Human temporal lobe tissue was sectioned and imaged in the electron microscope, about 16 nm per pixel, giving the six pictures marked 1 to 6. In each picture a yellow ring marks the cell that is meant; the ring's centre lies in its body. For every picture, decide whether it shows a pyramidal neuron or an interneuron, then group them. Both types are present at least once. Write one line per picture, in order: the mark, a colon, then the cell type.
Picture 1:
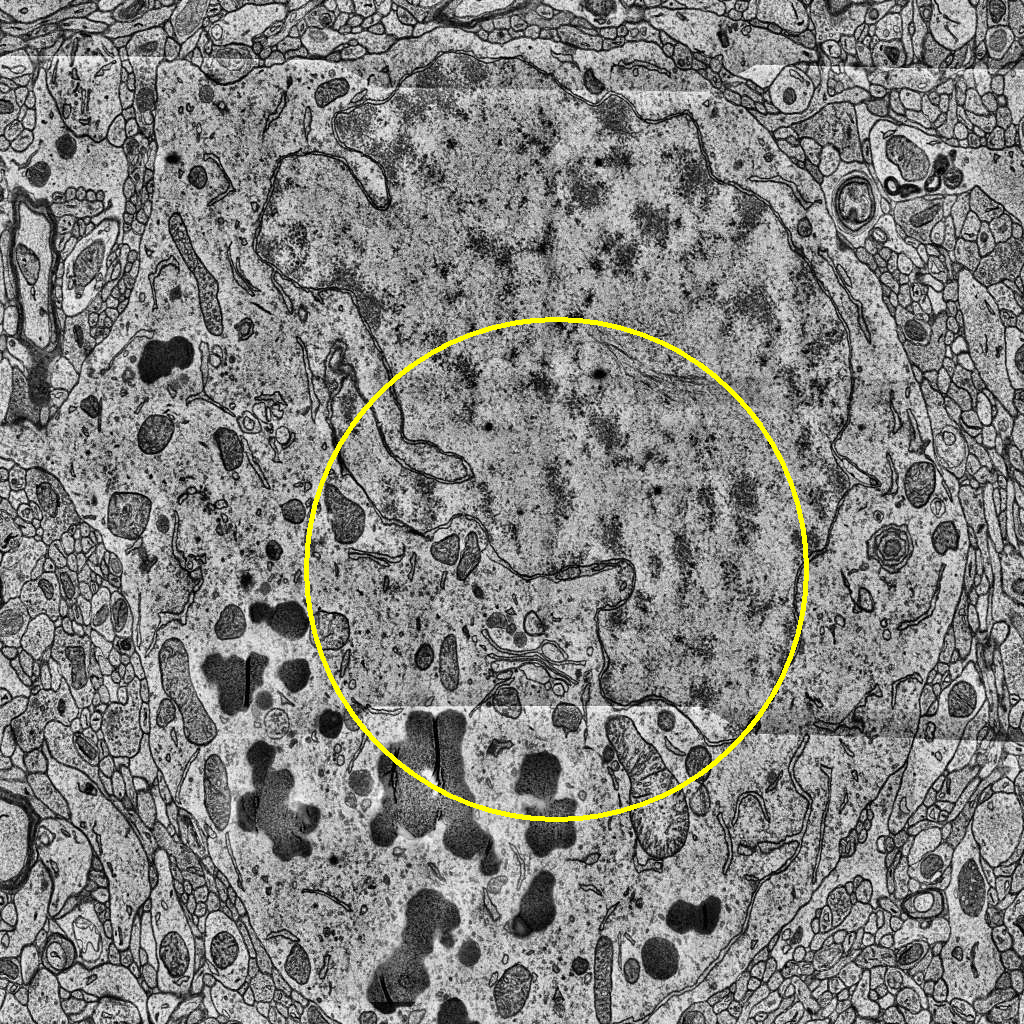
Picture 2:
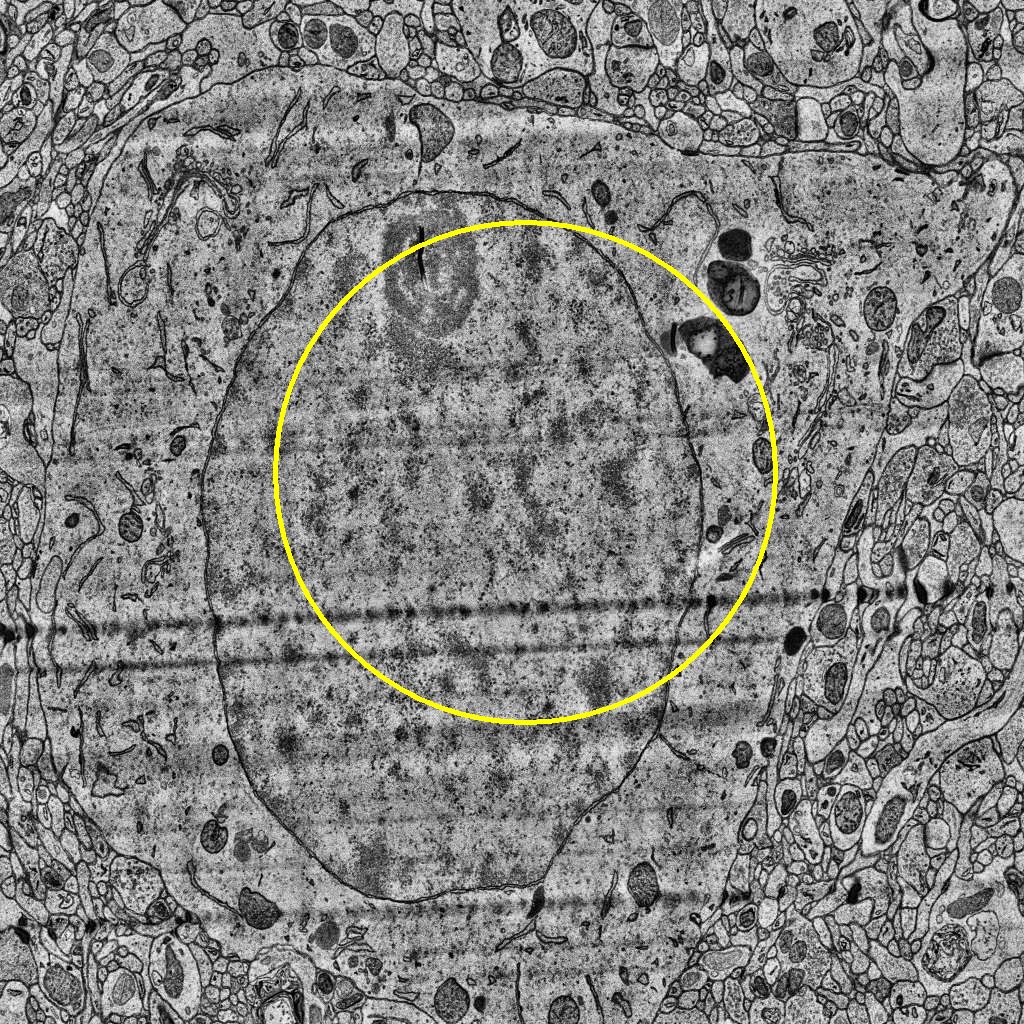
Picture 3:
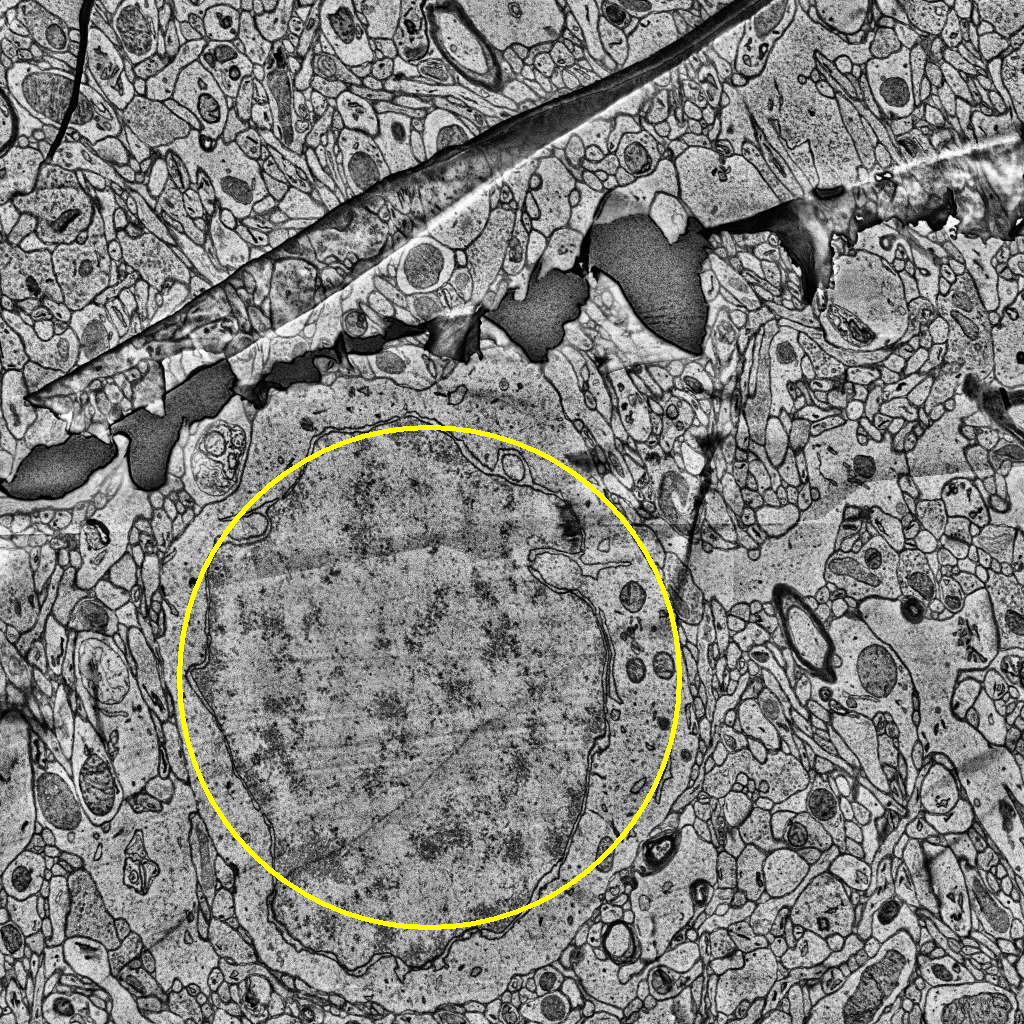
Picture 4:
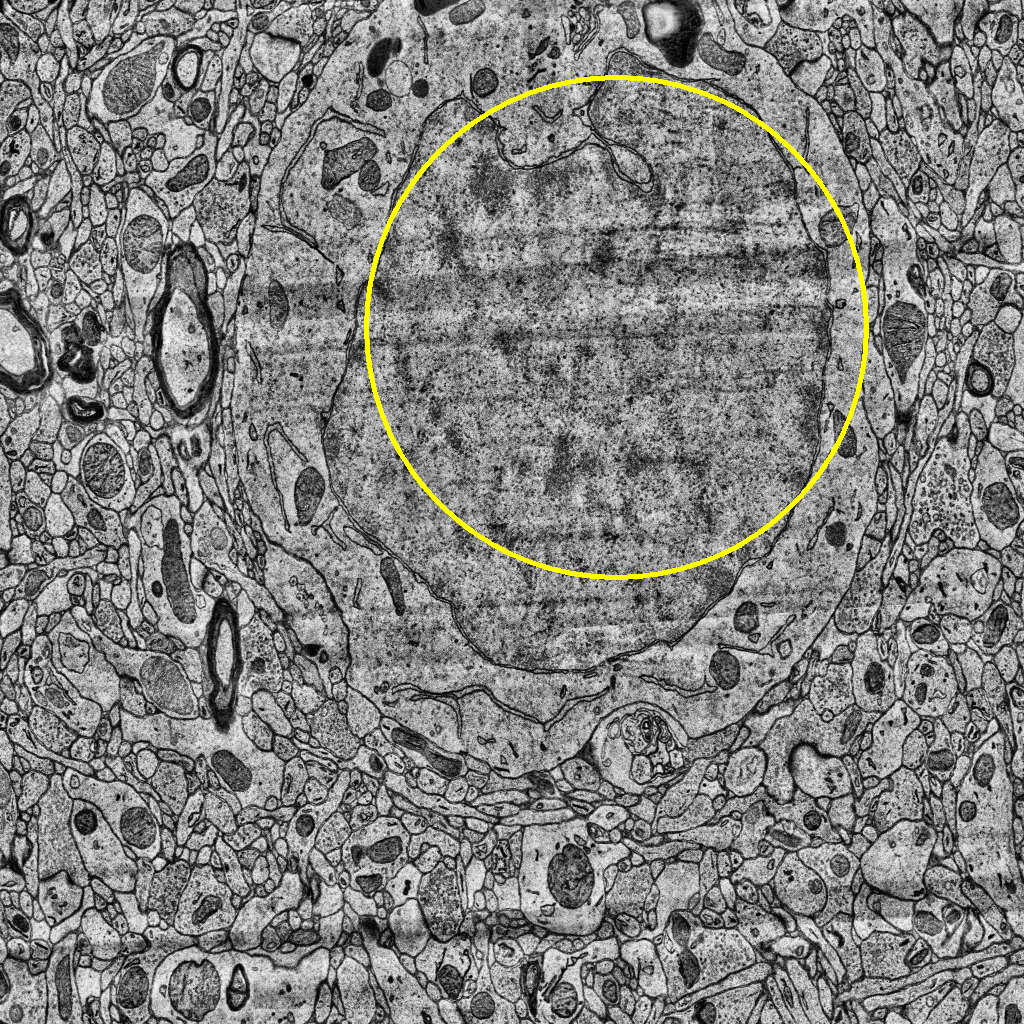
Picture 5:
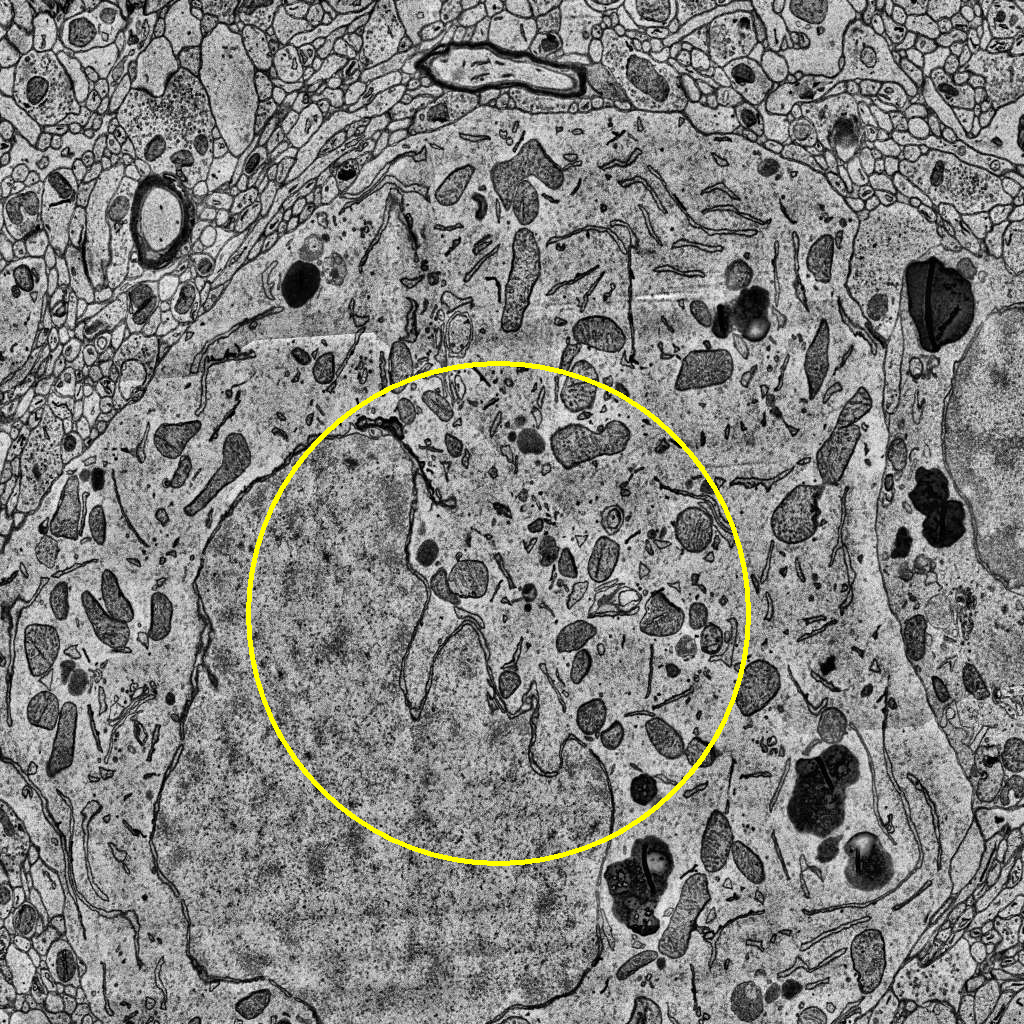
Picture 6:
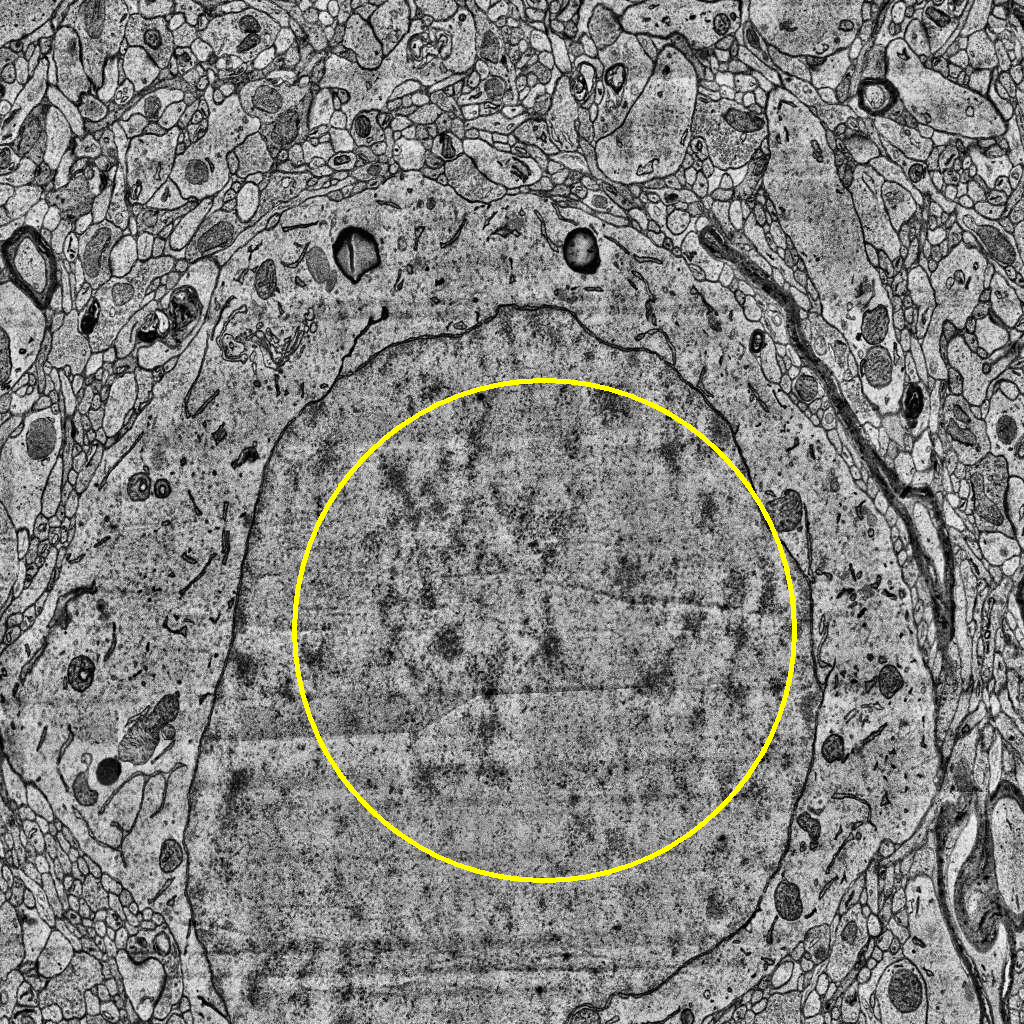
1: interneuron
2: pyramidal neuron
3: interneuron
4: interneuron
5: interneuron
6: pyramidal neuron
